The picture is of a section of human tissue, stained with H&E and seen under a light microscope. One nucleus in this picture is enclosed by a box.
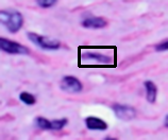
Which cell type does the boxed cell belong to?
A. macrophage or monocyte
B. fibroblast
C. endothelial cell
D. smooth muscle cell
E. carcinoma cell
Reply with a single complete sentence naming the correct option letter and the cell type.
In short, option B: the boxed cell is a fibroblast.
